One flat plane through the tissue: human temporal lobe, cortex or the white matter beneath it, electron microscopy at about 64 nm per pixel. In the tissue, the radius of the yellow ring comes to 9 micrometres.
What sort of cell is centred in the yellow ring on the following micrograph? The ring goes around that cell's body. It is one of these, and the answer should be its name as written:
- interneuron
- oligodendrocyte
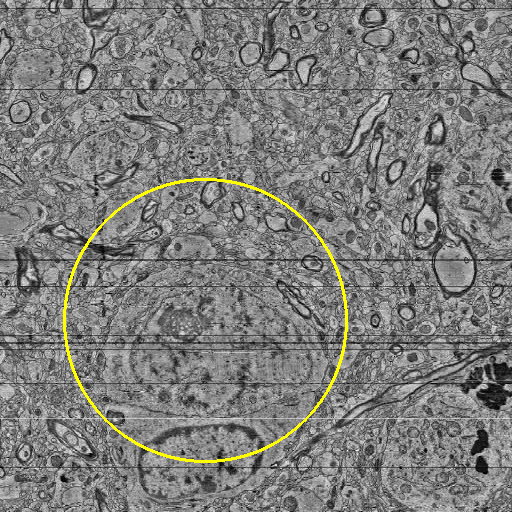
interneuron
